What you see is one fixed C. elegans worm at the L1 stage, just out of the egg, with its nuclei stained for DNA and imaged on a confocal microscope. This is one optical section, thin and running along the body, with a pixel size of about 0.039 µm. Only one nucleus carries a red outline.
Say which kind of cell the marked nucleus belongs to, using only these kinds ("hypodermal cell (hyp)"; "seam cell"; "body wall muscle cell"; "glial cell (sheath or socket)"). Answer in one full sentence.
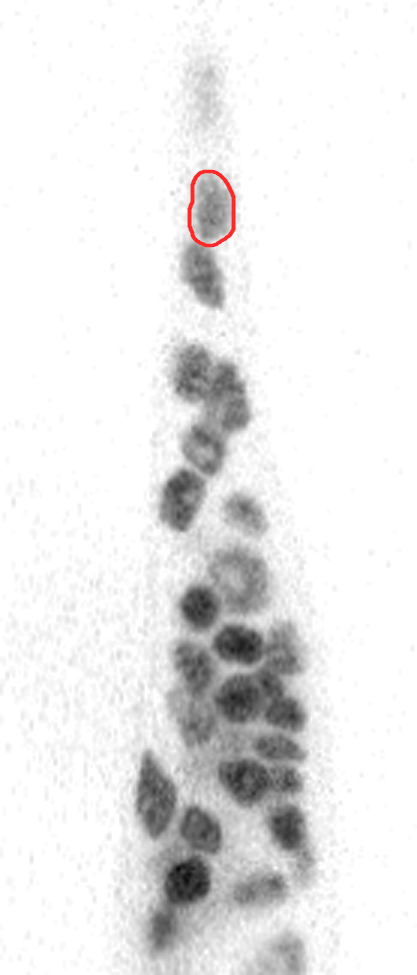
The marked nucleus is that of a hypodermal cell (hyp).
